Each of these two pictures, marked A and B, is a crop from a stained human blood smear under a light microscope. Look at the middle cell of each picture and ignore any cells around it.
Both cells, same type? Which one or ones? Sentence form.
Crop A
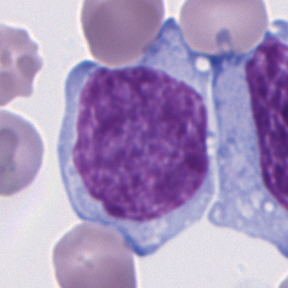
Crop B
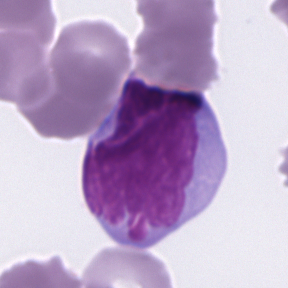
Yes, both crops are centred on cells that are myeloblasts.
